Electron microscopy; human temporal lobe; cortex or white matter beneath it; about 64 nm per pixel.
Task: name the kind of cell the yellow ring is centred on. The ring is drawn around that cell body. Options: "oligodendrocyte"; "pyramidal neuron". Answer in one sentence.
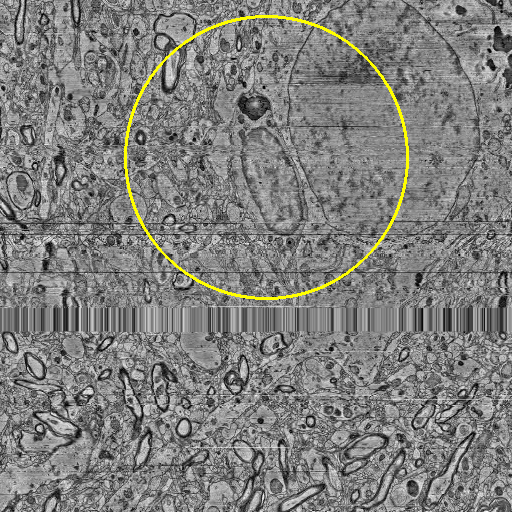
This cell body belongs to an oligodendrocyte.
